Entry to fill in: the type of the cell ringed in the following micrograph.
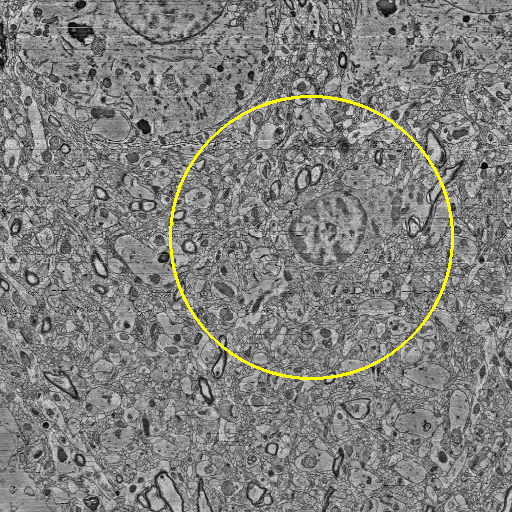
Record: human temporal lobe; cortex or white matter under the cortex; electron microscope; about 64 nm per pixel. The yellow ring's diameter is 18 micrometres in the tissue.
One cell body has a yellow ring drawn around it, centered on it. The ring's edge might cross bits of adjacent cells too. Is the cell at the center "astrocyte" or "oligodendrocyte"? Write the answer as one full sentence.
This entry names an oligodendrocyte as the cell whose body lies at the ring's center.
